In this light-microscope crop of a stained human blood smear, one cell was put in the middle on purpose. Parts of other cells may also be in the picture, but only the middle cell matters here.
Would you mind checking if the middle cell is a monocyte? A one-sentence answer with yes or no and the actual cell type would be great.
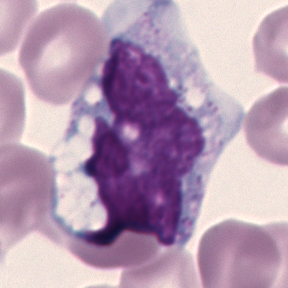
Yes, the cell at the centre of this crop is identified as a monocyte.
